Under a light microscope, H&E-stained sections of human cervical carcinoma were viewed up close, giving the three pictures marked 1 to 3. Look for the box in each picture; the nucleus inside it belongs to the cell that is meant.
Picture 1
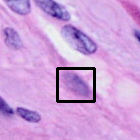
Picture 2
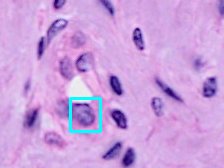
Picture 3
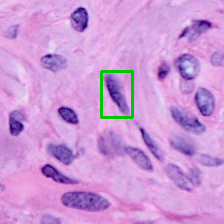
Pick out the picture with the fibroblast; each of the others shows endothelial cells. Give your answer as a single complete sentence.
The cell in picture 3 is the fibroblast.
